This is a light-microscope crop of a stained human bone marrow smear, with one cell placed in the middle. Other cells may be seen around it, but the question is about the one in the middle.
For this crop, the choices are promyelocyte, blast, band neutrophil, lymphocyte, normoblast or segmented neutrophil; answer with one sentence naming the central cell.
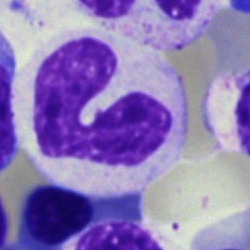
In the crop, the cell of interest at the centre is a band neutrophil.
